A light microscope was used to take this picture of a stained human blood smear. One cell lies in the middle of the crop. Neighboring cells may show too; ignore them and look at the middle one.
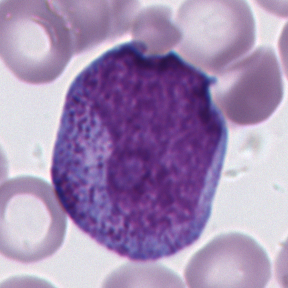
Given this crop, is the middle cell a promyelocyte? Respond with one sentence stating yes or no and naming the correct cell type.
Yes, a promyelocyte is present in the middle of the crop.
